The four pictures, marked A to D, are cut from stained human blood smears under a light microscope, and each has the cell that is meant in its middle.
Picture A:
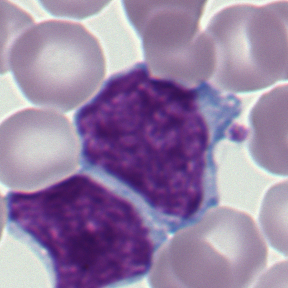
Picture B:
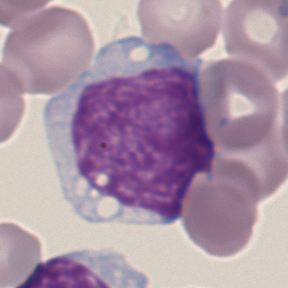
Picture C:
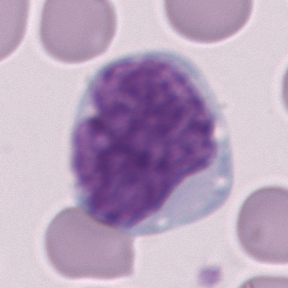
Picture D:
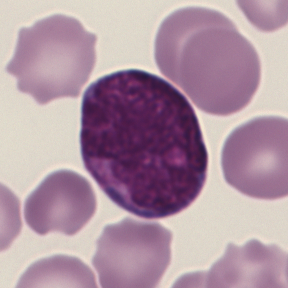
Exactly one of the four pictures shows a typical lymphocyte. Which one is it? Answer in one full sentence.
Picture A shows the typical lymphocyte.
